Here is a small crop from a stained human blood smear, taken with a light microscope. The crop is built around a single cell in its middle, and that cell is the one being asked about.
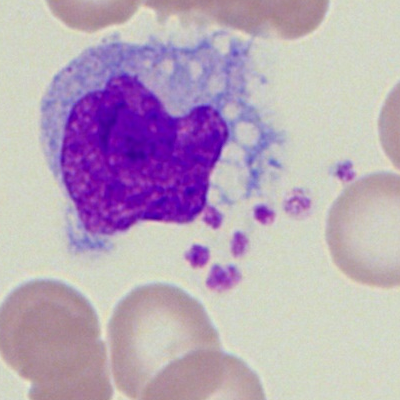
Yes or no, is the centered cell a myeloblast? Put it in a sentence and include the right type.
No, the cell in the middle is recognised as a monocyte rather than a myeloblast.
